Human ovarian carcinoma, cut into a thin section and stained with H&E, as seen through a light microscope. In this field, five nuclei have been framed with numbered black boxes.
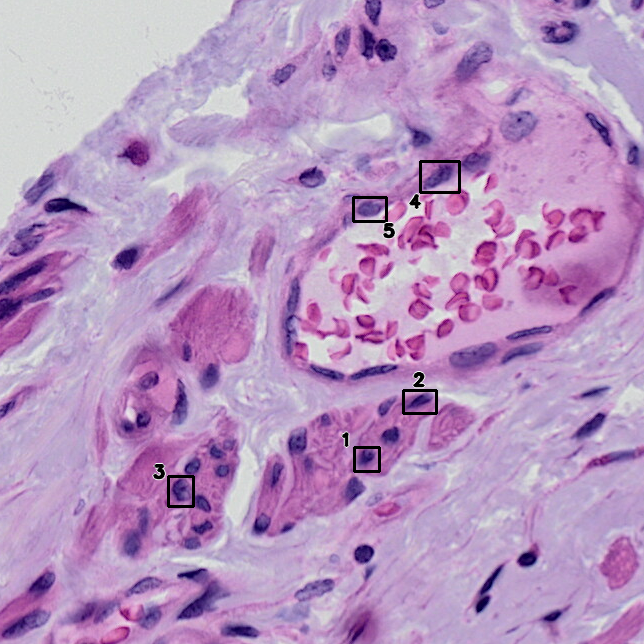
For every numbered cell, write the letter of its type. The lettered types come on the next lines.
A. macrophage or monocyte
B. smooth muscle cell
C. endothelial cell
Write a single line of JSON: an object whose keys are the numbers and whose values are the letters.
{"1": "B", "2": "B", "3": "B", "4": "C", "5": "C"}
